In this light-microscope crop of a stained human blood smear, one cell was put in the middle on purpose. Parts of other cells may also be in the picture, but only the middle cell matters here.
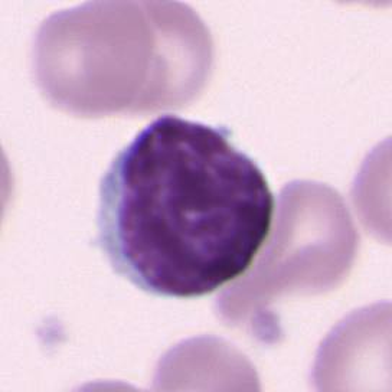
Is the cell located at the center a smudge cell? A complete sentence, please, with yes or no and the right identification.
No, the cell in the middle of the crop counts as a typical lymphocyte and not as a smudge cell.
